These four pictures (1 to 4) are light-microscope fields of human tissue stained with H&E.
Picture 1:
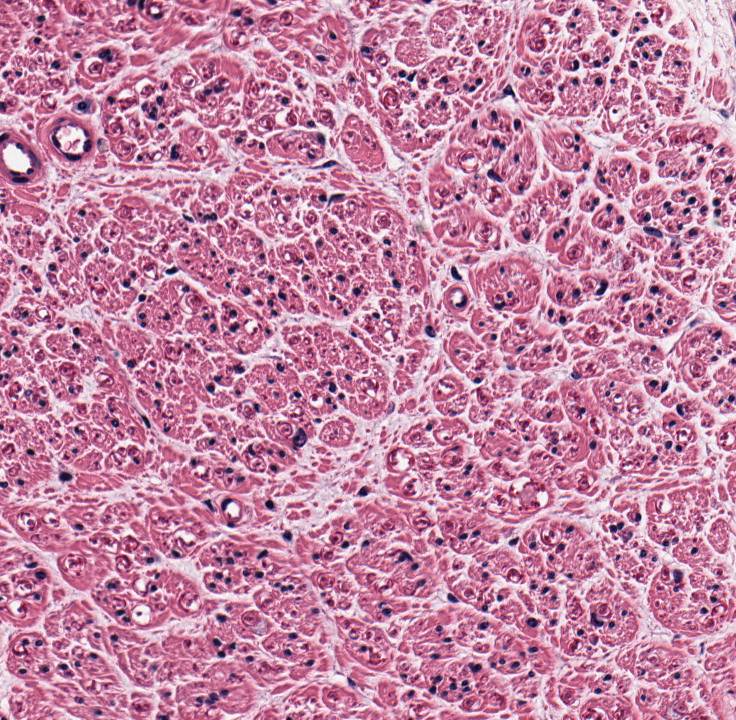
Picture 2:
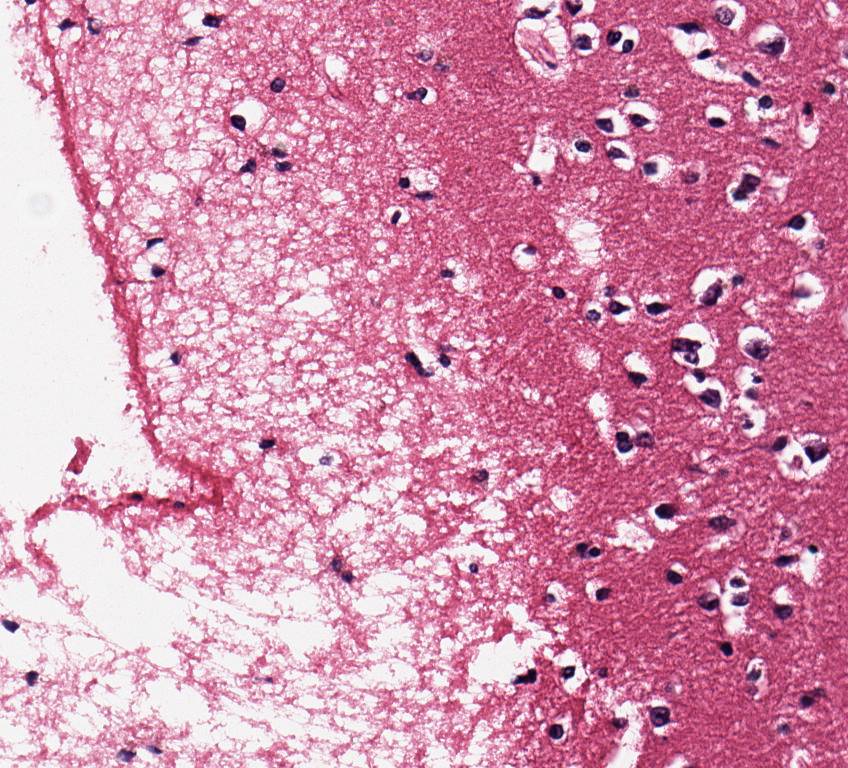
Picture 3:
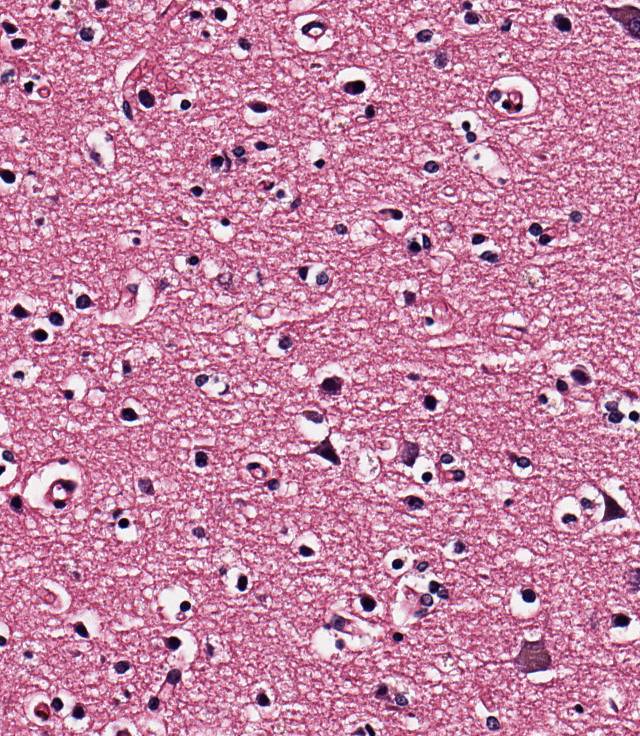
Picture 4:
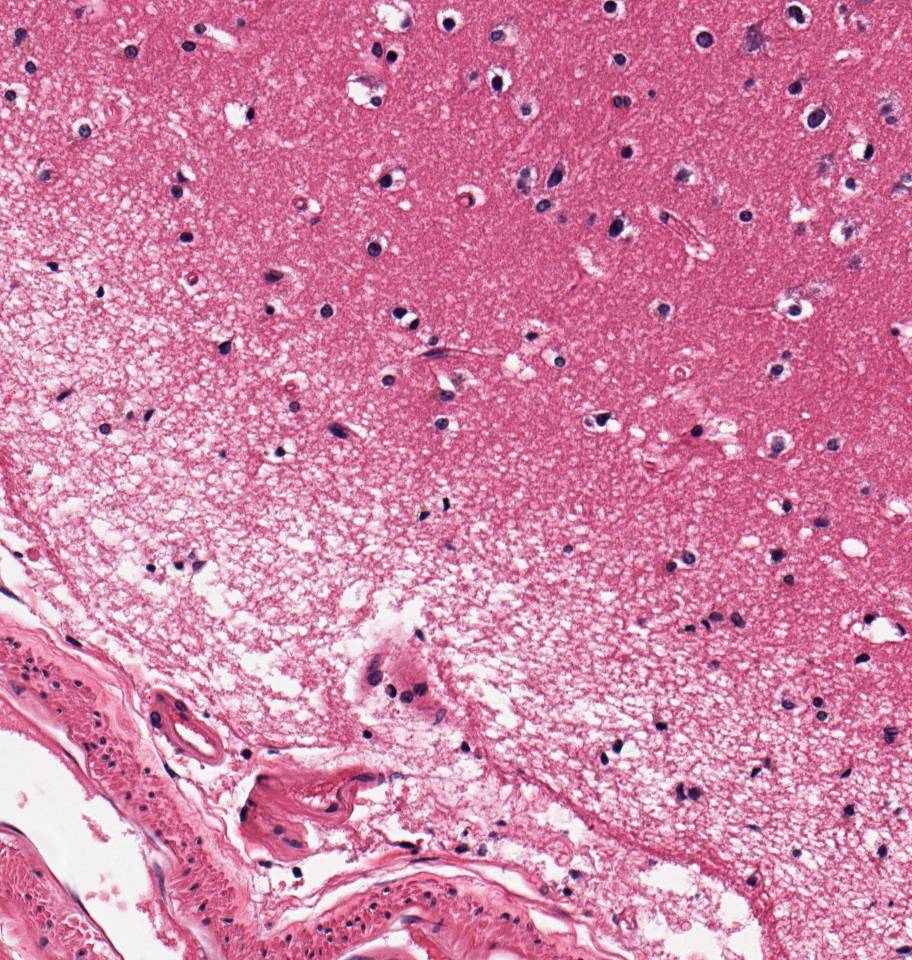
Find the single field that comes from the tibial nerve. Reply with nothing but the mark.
1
